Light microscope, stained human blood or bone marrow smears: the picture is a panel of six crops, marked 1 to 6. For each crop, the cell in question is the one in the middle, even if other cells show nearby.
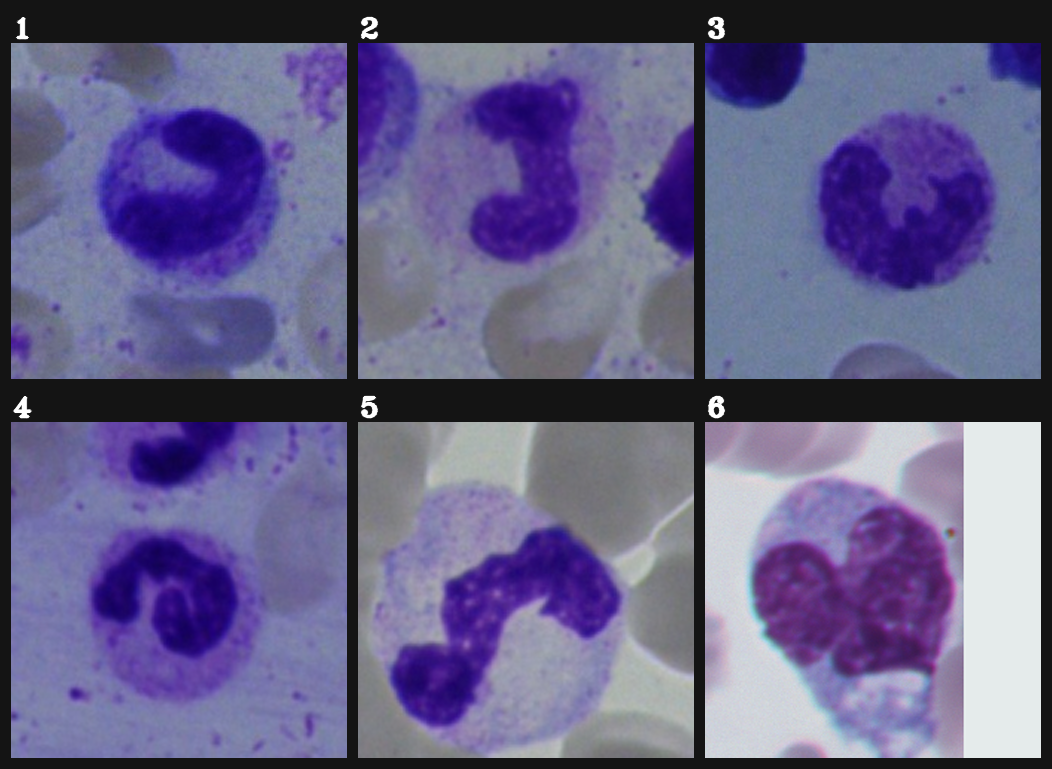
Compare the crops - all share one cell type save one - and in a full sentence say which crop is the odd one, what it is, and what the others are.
Crop 6, showing a monocyte, is the exception; the others all show band neutrophils.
